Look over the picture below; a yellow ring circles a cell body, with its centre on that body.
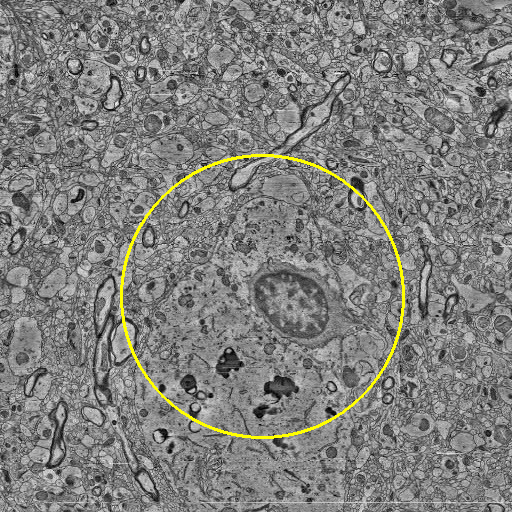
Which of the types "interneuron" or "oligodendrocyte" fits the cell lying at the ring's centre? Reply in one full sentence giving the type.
The picture shows an oligodendrocyte at the centre of the yellow ring.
